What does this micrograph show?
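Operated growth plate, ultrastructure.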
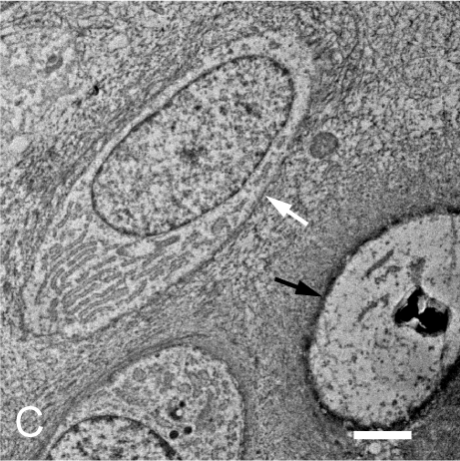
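The upper cell has an intact oval nucleus with finely dispersed chromatin and a clear nuclear envelope. Beside the nucleus the cytoplasm holds many parallel, stacked cisterns of rough endoplasmic reticulum, a sign of a well-developed, active cell. At lower right lies a round profile with a dark rim whose interior is pale and contains a dense irregular fragment, a cell that is degenerating and breaking apart. Another nucleus is cut at the lower left edge.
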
